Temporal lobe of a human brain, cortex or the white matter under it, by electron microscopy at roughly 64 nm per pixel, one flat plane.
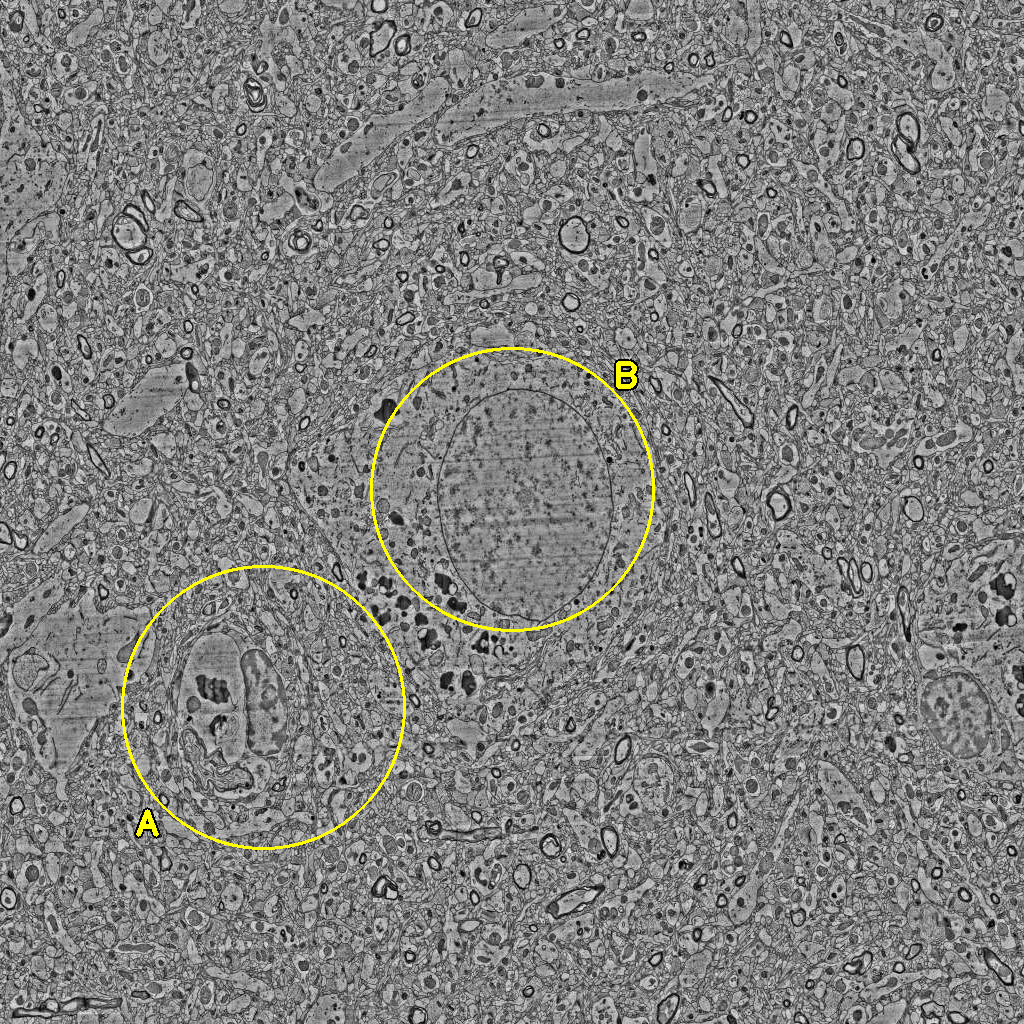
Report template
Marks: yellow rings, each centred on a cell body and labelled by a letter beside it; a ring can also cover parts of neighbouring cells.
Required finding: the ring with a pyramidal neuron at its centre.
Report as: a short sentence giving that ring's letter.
Ring B holds that cell at its centre.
